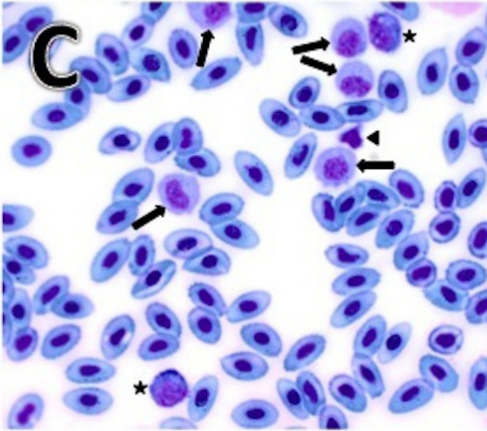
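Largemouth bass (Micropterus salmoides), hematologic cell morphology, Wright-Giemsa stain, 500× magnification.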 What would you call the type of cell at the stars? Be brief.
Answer: Monocytes.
